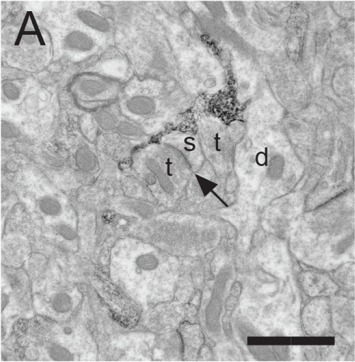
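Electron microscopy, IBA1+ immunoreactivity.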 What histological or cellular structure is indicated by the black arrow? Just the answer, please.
excitatory synaptic clefts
